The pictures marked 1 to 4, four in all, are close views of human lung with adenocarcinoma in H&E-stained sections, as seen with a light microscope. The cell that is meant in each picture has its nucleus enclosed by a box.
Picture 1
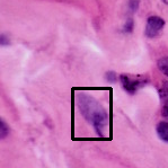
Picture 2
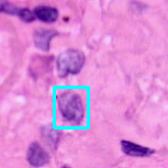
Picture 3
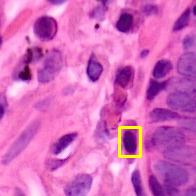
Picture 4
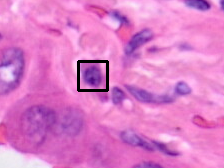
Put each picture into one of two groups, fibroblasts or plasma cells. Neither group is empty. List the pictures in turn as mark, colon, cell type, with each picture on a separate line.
1: fibroblast
2: fibroblast
3: plasma cell
4: plasma cell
